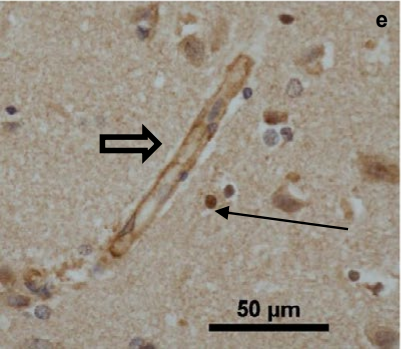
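This is brain grey matter with a capillary crossing it diagonally, its thin walls outlined in brown around an empty lumen. Scattered around it are small round glial nuclei, most of them blue-grey, while one is stained brown. Larger neuronal cell bodies with pale brown cytoplasm lie nearby, giving a sense of how small the glial nuclei are by comparison.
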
